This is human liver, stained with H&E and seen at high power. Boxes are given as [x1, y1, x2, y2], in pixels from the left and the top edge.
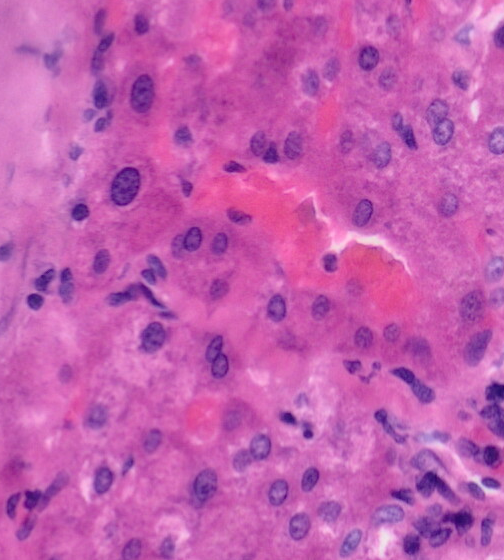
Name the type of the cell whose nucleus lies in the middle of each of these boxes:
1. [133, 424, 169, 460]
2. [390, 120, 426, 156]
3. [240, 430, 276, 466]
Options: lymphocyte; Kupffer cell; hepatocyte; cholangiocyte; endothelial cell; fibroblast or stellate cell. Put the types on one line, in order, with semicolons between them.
hepatocyte; fibroblast or stellate cell; hepatocyte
